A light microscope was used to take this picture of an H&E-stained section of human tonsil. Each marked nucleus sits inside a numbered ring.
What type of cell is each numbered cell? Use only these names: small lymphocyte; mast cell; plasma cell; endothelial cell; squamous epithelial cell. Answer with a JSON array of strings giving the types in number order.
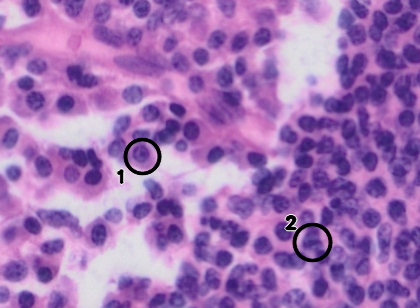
["plasma cell", "small lymphocyte"]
